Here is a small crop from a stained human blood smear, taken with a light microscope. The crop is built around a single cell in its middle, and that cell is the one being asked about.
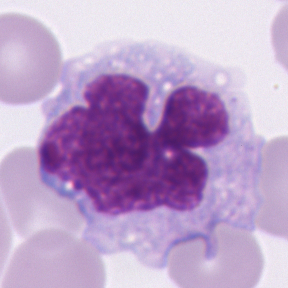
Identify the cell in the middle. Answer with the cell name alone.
monocyte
